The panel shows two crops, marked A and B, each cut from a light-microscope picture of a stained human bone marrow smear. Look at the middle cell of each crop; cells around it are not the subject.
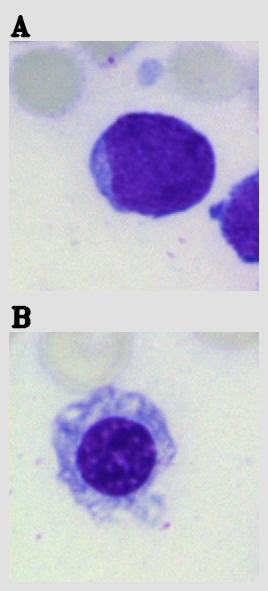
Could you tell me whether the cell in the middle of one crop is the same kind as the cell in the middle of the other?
no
